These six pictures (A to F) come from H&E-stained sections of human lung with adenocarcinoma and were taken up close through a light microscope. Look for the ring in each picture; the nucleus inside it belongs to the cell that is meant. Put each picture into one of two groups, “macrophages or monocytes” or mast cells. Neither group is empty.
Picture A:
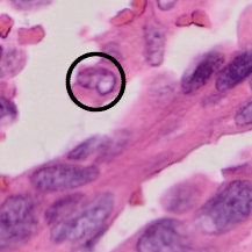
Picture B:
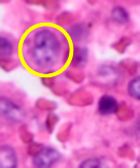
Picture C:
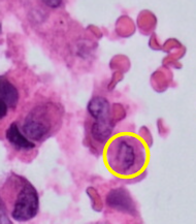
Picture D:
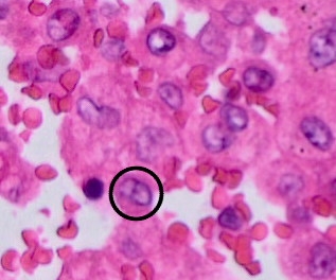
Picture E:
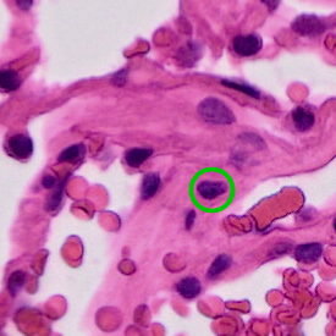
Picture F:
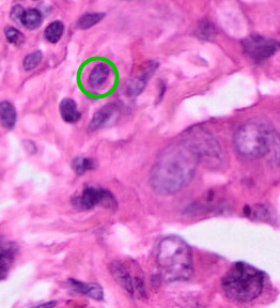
A: macrophage or monocyte
B: macrophage or monocyte
C: macrophage or monocyte
D: macrophage or monocyte
E: mast cell
F: mast cell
